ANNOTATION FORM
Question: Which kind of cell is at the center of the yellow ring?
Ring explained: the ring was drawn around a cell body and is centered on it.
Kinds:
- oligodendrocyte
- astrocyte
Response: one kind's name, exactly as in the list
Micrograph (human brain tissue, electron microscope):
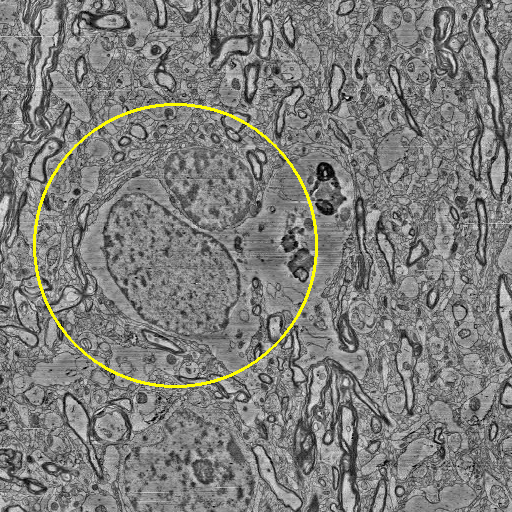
astrocyte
